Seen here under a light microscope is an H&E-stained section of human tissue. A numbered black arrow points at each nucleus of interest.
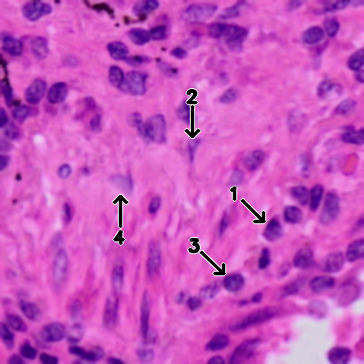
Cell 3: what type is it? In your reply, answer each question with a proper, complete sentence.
The correct label for cell 3 is a lymphocyte.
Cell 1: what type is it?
Regarding cell 1, this one is a lymphocyte.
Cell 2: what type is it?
Regarding cell 2, this one is a fibroblast.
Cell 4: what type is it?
The mark numbered 4 indicates the nucleus of a fibroblast.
